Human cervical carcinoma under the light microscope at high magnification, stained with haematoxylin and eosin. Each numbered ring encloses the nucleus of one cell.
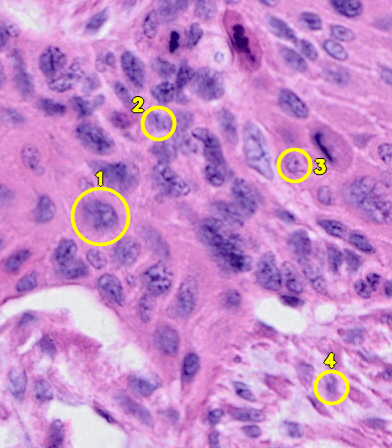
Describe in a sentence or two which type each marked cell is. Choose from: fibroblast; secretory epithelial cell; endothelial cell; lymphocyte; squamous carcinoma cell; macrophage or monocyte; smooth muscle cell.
Cells 1, 2 and 3 are squamous carcinoma cells. Cell 4 is a fibroblast.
